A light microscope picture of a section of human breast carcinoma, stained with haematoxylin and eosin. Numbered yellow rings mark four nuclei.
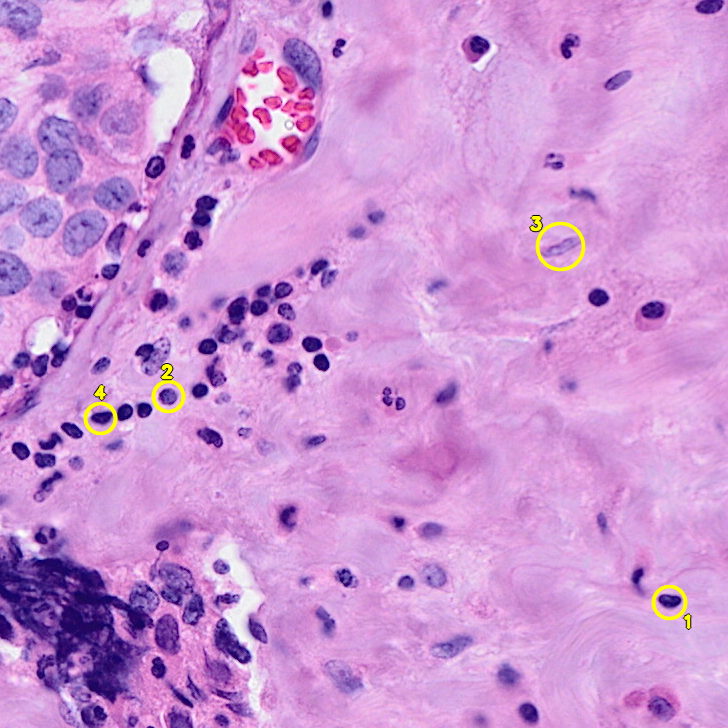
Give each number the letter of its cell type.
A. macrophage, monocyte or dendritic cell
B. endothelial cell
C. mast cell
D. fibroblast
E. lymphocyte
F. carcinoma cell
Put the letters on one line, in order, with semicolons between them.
E; E; D; E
